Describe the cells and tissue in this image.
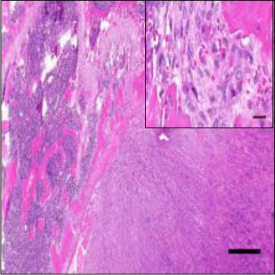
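Solid tumor tissue stained with hematoxylin and eosin. On one side the tissue is densely cellular and purple, interlaced with pink strands and bands of matrix; on the other side the tissue is paler and more uniform, made of closely packed elongated spindle-shaped cells. The inset at higher magnification shows irregular, plump to elongated nuclei among pink extracellular material. The mix of spindle-cell areas and cells lying among pink matrix fits a fibroblastic/osteoblastic osteosarcoma.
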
